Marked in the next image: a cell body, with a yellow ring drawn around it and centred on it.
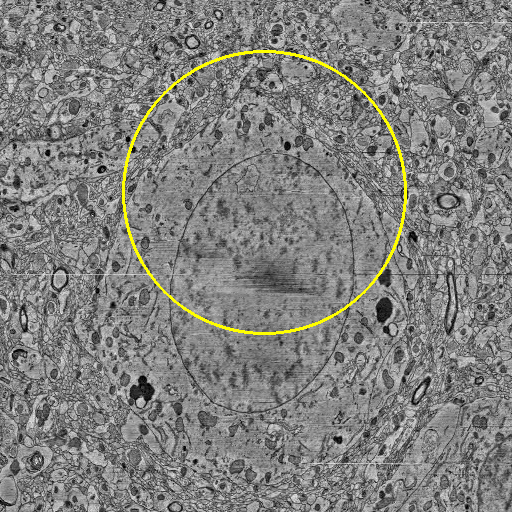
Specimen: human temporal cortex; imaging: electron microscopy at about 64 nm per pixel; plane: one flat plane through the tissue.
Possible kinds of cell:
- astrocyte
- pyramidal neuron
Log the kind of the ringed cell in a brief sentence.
The ringed cell body is that of a pyramidal neuron.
